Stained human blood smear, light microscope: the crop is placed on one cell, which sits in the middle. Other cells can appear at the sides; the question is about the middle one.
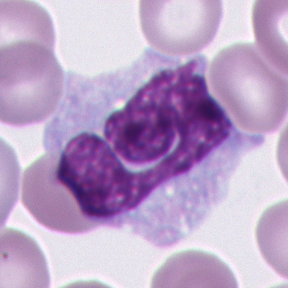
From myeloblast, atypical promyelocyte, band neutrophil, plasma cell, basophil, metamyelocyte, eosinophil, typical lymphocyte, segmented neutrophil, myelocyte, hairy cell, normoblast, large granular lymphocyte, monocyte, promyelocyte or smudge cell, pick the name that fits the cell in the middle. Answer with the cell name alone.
monocyte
